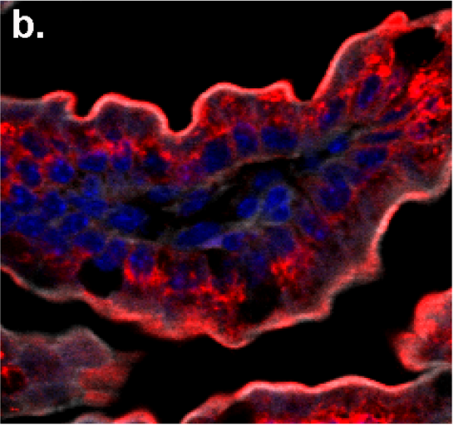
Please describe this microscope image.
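Gut enterocytes forming a single layer of tall columnar cells that cover both sides of a narrow fold with a thin central core. Oval blue nuclei sit in a row within each cell layer, toward the inner side of the fold. The cytoplasm holds patchy, granular red label, densest between the nuclei and the free surface. The free outer surface of the epithelium is edged by a continuous bright band of red and gray. Faint gray lines outline neighbouring cells. Parts of similar epithelial folds appear at the lower edge.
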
